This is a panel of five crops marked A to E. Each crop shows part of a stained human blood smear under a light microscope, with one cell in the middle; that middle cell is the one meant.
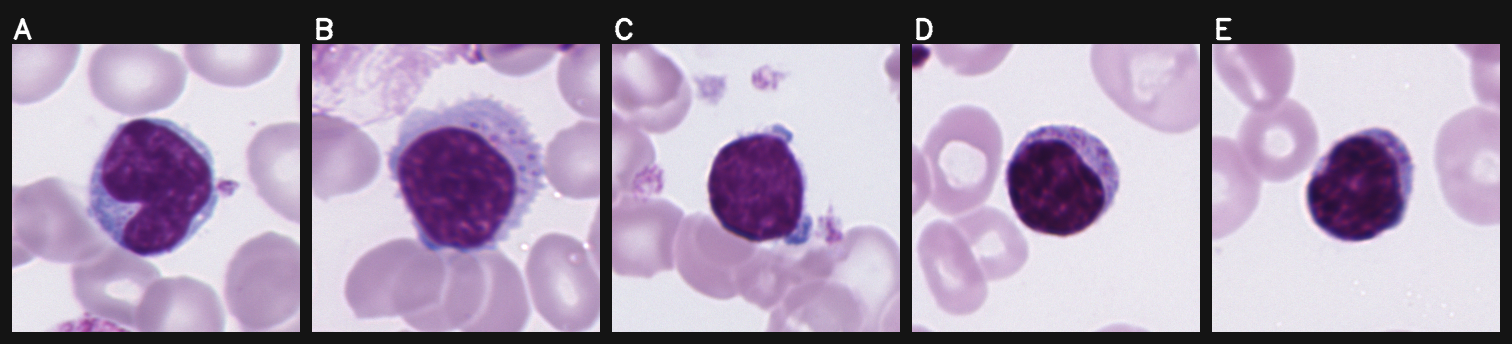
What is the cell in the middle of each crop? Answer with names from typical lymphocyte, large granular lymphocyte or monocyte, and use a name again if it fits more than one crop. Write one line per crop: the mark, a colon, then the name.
A: typical lymphocyte
B: large granular lymphocyte
C: typical lymphocyte
D: large granular lymphocyte
E: typical lymphocyte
